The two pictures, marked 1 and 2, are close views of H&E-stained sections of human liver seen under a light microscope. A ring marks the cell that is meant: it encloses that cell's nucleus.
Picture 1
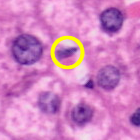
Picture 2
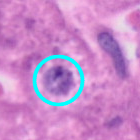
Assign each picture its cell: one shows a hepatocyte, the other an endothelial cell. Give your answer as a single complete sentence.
In picture 1 the cell is an endothelial cell; in picture 2, a hepatocyte.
